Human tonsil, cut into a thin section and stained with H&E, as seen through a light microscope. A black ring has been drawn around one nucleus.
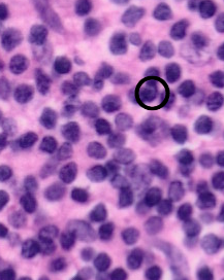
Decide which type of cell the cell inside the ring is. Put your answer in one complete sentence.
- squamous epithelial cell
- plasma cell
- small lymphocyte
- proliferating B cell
Students should answer that the cell inside the ring is a small lymphocyte.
